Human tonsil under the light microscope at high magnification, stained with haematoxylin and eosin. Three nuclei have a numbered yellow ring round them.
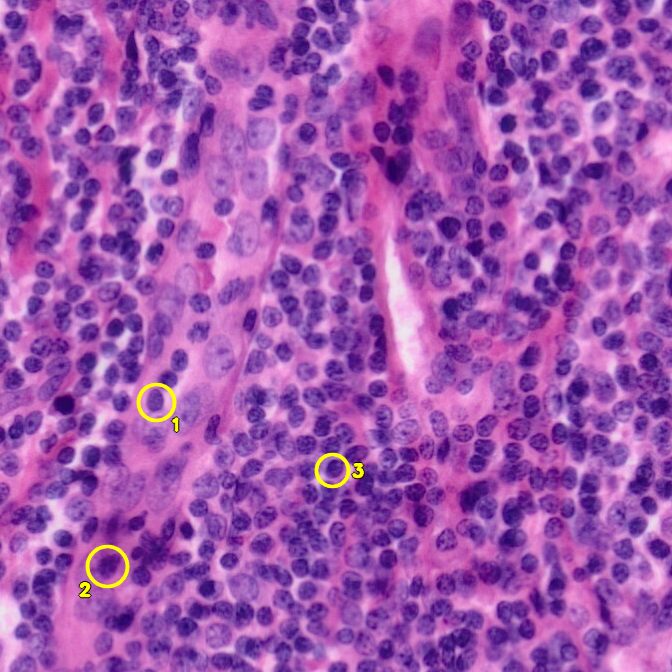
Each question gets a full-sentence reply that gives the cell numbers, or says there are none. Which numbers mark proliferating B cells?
There are no proliferating B cells among the cells marked with numbers.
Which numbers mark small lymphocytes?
Only nucleus 3 belongs to a small lymphocyte; the other numbered nuclei do not.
